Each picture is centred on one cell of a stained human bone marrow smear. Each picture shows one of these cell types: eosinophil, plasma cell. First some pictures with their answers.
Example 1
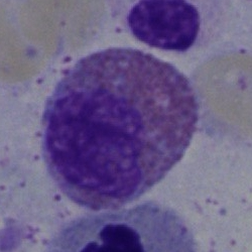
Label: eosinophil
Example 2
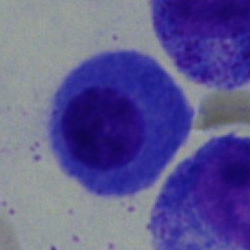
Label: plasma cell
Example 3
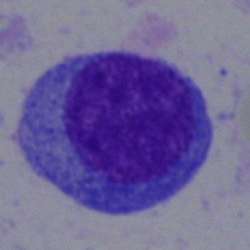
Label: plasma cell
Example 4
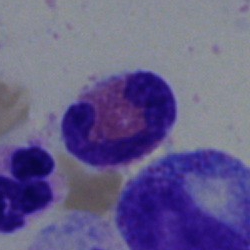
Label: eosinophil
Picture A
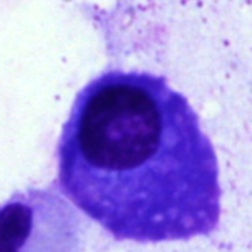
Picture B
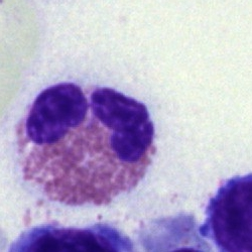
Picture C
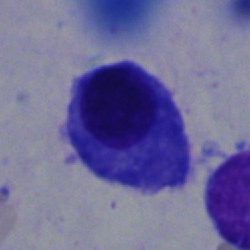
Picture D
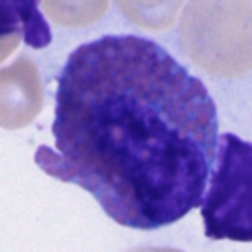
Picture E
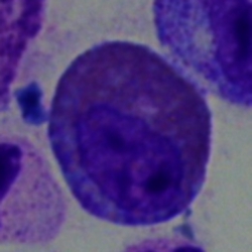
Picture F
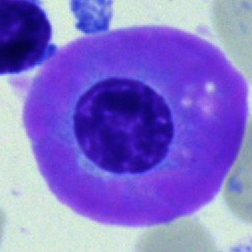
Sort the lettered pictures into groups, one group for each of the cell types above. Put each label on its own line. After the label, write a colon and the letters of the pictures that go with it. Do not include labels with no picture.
eosinophil: B, D, E
plasma cell: A, C, F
